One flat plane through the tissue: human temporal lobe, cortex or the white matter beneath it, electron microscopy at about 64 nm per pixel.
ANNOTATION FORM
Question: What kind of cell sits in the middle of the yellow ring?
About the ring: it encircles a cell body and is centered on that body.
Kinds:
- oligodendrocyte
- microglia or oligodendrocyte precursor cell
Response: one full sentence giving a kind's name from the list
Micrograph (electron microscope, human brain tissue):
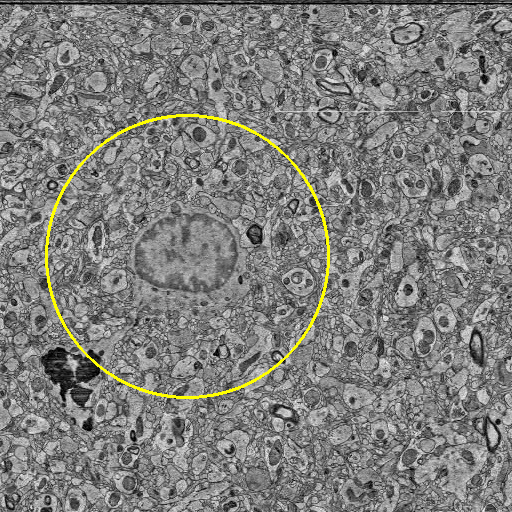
The kind of cell found at the center of the yellow ring in the micrograph is an oligodendrocyte.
